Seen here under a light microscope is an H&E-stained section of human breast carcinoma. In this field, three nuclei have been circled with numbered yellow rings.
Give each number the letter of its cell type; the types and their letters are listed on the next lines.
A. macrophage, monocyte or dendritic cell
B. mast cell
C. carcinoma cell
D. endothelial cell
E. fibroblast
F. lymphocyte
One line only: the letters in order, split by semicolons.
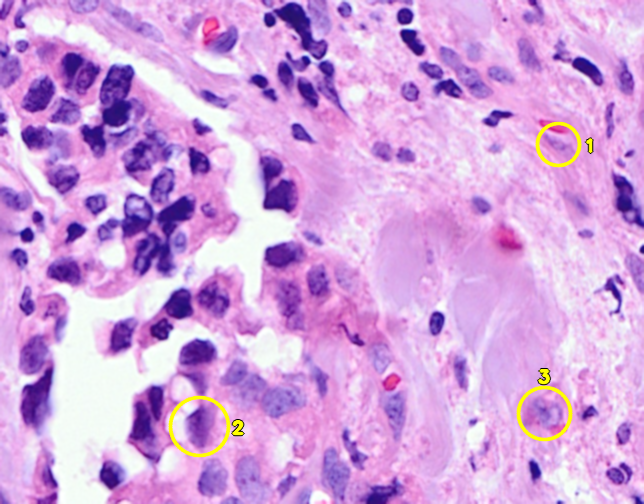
D; C; D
